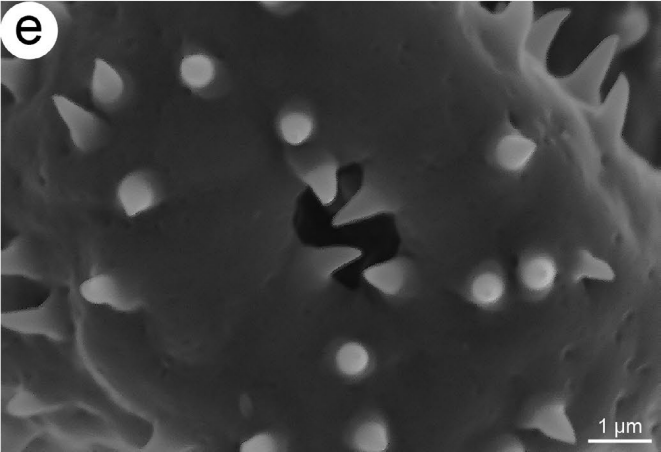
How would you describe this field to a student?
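A close view of the outer pollen wall, the exine, with a smooth surface studded with short conical spines. In the middle lies a small dark, irregular aperture, into which a few spines project from its edges.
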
